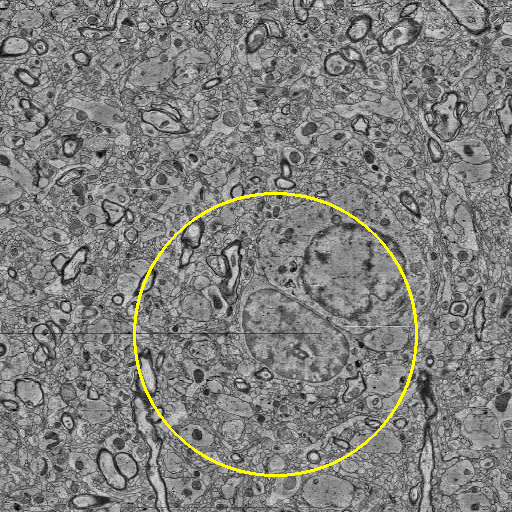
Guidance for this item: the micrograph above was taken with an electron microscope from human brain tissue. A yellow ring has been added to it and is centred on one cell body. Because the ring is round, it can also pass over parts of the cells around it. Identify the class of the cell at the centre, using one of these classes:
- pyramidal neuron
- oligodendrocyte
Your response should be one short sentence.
The ring surrounds the body of an oligodendrocyte.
